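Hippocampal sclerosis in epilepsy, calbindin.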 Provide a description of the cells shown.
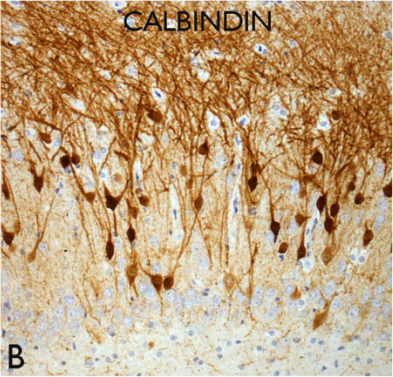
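Here the dentate granule cells no longer sit in a tight layer: many brown-stained cell bodies are spread loosely over a wide band, each sending a long brown process upward into a dense brown meshwork of dendrites. At the bottom lies a row of cells showing only blue nuclei and no brown staining. The contrast between the scattered stained cells above and the unstained cells below is the striking feature of this field.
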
